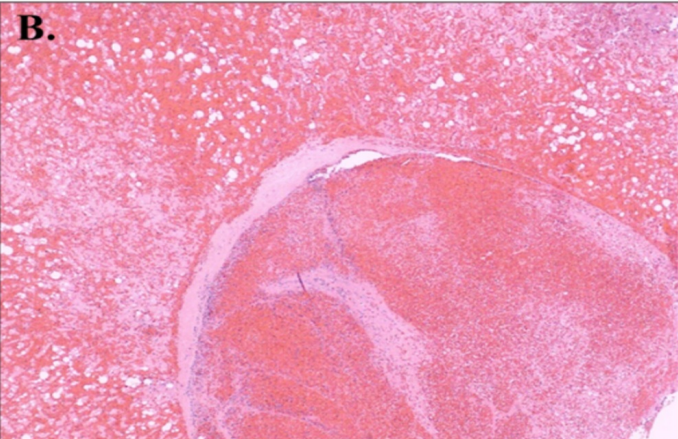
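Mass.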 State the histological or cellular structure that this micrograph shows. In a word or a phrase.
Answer: dilated vessels with thrombi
